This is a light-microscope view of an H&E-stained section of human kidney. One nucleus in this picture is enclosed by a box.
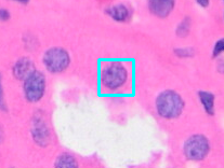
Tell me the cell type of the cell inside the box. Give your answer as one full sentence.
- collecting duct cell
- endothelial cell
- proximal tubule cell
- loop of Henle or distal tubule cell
As classified here, the cell inside the box is a loop of Henle or distal tubule cell.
